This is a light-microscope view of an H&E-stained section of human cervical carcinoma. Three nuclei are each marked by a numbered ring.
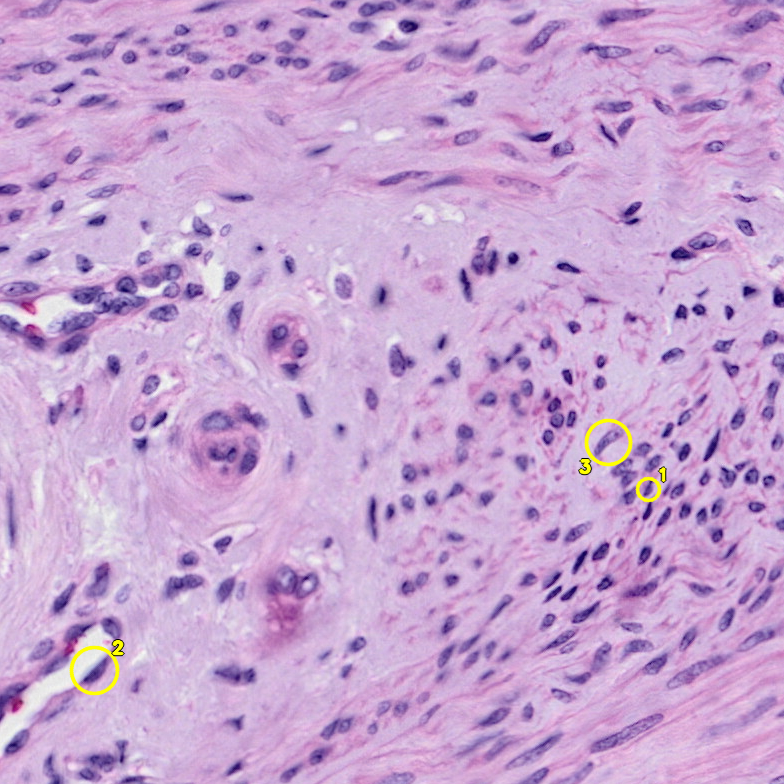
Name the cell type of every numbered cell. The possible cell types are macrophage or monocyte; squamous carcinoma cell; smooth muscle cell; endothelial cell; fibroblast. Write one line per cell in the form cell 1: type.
cell 1: smooth muscle cell
cell 2: endothelial cell
cell 3: smooth muscle cell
